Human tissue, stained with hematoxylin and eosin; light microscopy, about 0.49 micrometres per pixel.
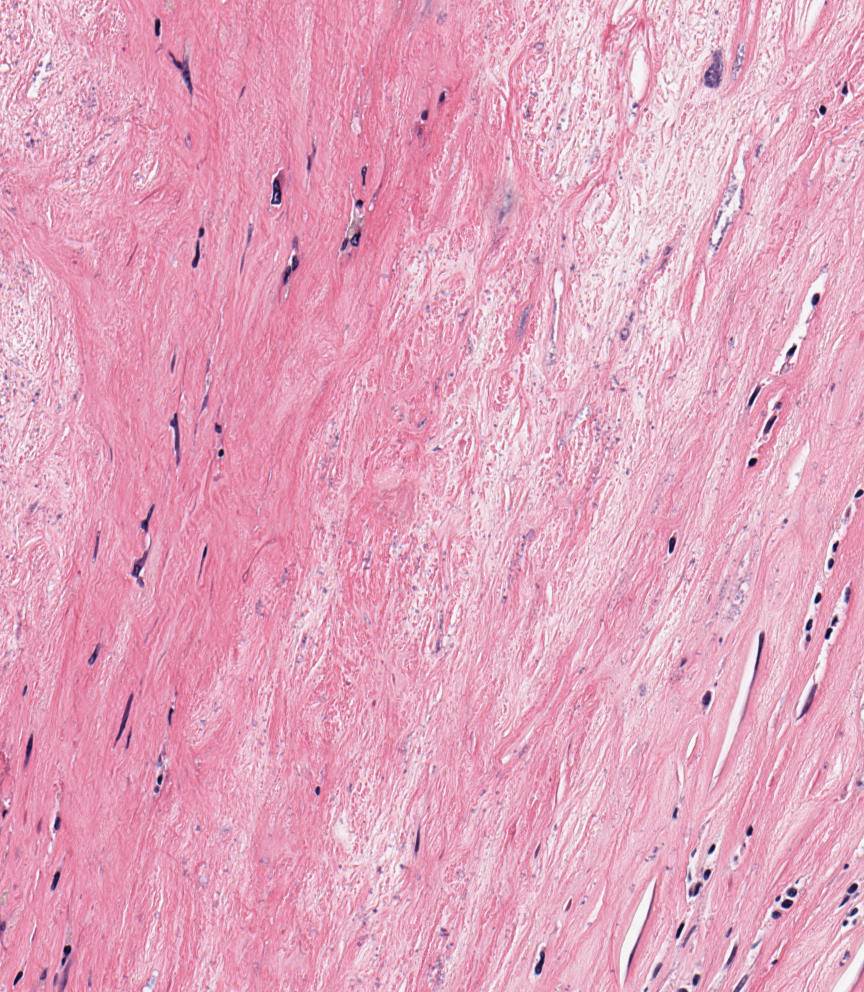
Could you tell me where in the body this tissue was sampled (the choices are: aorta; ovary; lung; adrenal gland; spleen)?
aorta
